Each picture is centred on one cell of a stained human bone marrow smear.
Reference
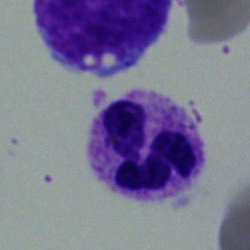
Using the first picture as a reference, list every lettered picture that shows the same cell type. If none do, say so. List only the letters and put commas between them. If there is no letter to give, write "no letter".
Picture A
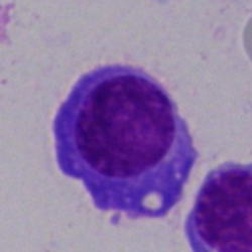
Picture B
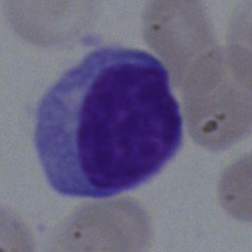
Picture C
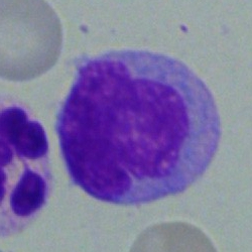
no letter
